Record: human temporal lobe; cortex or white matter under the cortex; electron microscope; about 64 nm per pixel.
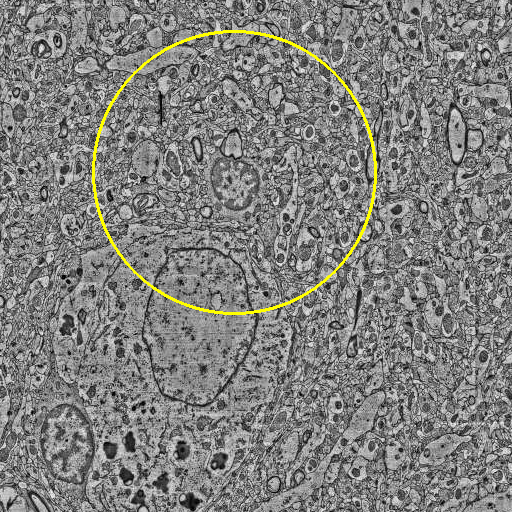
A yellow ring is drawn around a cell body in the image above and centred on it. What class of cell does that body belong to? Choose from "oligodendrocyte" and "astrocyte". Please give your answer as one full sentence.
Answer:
The yellow ring above is centred on the cell body of an oligodendrocyte.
